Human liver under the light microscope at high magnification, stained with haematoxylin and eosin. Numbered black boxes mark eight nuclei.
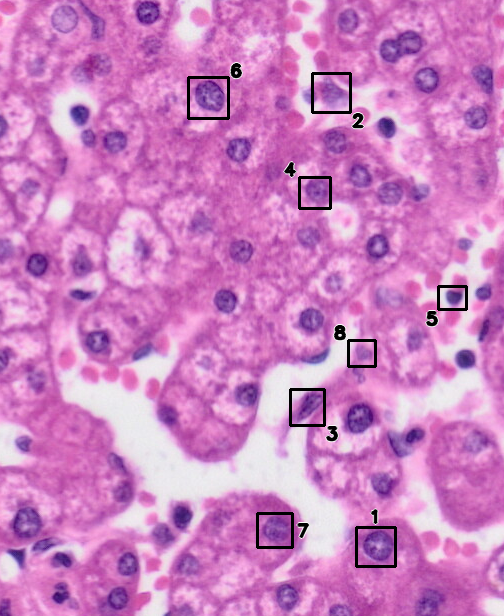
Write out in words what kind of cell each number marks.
Cells 1, 4, 6 and 7 are hepatocytes. Cells 2, 3 and 8 are Kupffer cells. Cell 5 is a lymphocyte.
